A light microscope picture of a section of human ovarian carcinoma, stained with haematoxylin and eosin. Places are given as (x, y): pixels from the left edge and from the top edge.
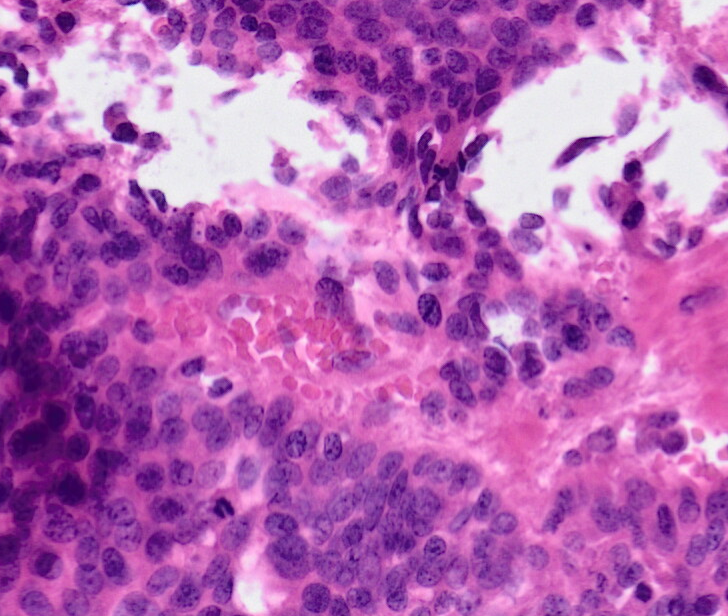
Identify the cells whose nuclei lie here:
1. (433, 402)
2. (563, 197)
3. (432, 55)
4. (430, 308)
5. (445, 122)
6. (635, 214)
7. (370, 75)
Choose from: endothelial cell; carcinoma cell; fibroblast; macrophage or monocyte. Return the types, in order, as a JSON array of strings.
["macrophage or monocyte", "carcinoma cell", "macrophage or monocyte", "macrophage or monocyte", "carcinoma cell", "carcinoma cell", "carcinoma cell"]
